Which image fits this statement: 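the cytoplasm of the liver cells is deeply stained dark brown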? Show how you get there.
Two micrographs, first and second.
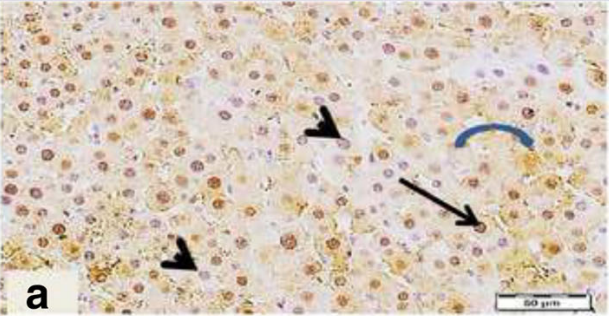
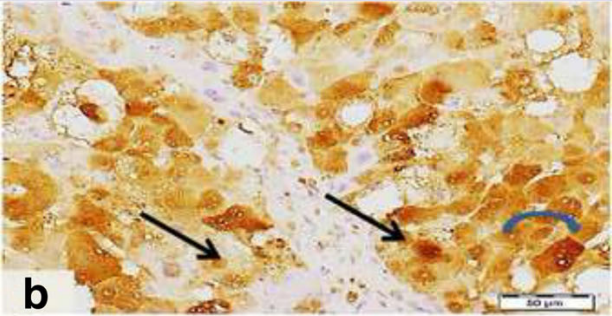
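The second image. Second image: many cells have dense dark brown to orange cytoplasm in patches.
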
